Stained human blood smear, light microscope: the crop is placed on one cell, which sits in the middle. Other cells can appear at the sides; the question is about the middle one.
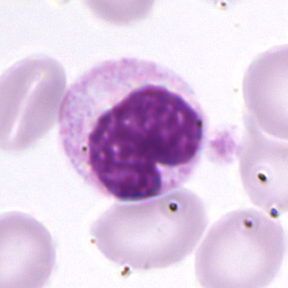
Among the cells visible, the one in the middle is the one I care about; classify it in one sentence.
By classification, the middle cell of this crop is a band neutrophil.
